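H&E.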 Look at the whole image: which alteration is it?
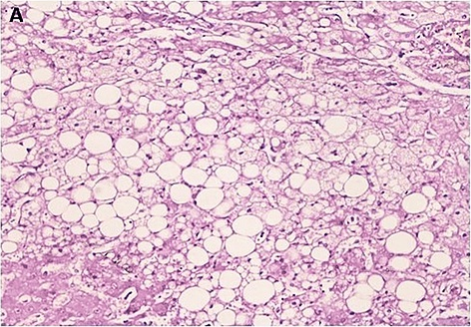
macrovesicular change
